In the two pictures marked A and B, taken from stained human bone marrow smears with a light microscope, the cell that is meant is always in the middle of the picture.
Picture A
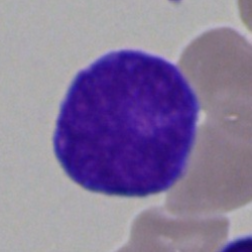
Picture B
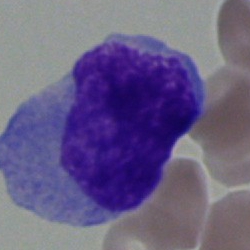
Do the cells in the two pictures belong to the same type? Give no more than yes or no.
yes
